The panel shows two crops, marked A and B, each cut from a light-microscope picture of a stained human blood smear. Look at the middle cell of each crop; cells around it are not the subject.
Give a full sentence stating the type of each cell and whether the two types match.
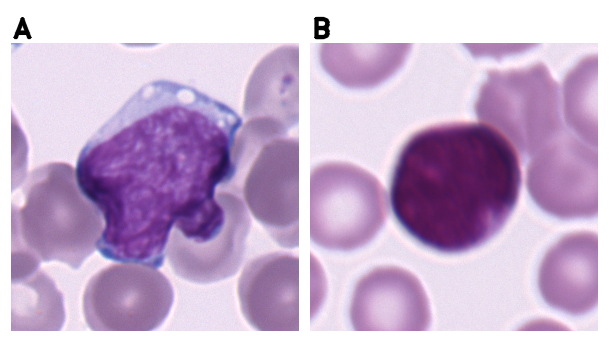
Yes, in the middle of both crops, myeloblasts are shown.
